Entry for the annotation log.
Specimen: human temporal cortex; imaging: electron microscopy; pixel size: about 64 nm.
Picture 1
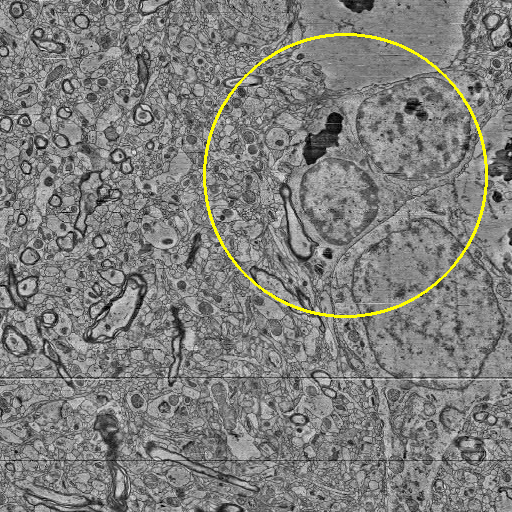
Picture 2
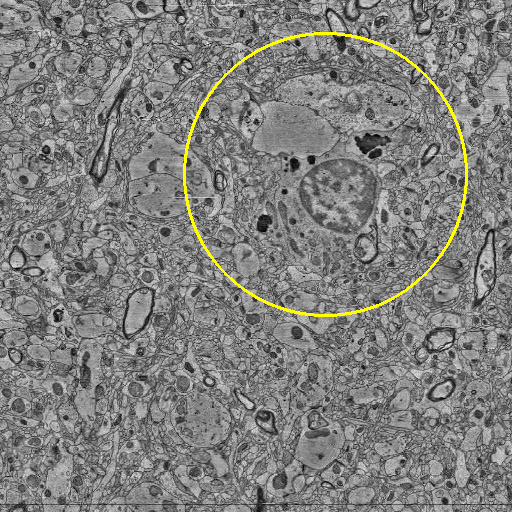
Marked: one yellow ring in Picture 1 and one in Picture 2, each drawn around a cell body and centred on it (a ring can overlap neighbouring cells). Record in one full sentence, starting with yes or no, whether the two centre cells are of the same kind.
Yes, both cells are of the same kind.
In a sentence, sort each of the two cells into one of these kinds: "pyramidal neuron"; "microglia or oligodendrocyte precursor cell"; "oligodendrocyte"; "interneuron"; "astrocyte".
In both pictures the ring is centred on an oligodendrocyte.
